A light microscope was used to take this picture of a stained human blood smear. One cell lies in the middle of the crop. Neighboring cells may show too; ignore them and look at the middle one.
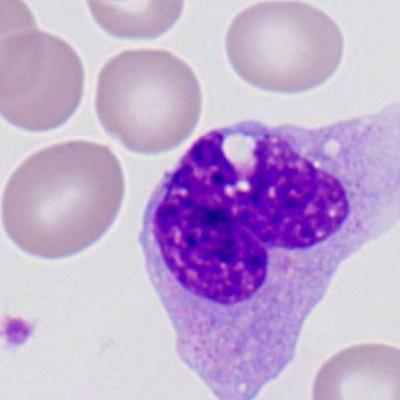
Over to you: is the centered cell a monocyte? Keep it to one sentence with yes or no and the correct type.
Yes, the central cell of this crop corresponds to a monocyte.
